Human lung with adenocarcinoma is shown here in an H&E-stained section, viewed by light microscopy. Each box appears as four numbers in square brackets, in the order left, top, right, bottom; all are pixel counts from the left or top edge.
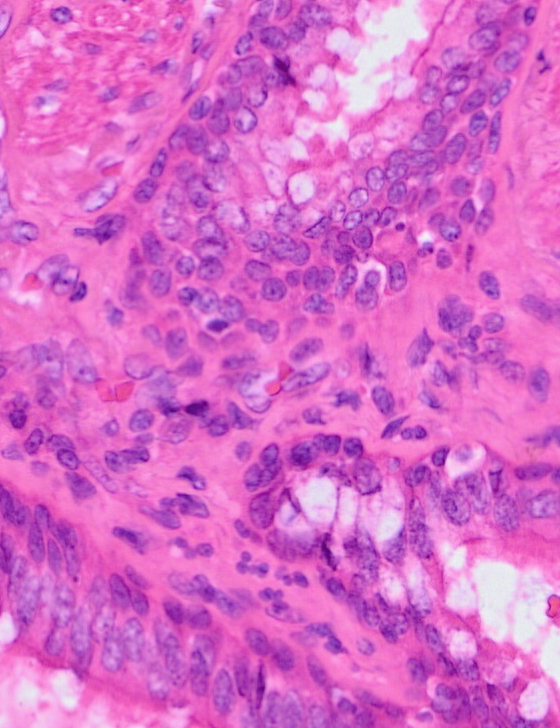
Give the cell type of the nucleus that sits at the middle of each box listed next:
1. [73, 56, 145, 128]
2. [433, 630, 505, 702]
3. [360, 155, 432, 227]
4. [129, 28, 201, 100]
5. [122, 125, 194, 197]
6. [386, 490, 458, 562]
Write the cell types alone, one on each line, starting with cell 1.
smooth muscle cell or pericyte
ciliated epithelial cell
ciliated epithelial cell
smooth muscle cell or pericyte
ciliated epithelial cell
ciliated epithelial cell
